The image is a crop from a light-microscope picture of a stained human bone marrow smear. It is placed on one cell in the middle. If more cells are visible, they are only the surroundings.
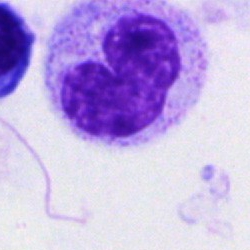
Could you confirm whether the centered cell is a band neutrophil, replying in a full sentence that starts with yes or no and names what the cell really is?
Yes, in this crop the cell in the middle is a band neutrophil.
